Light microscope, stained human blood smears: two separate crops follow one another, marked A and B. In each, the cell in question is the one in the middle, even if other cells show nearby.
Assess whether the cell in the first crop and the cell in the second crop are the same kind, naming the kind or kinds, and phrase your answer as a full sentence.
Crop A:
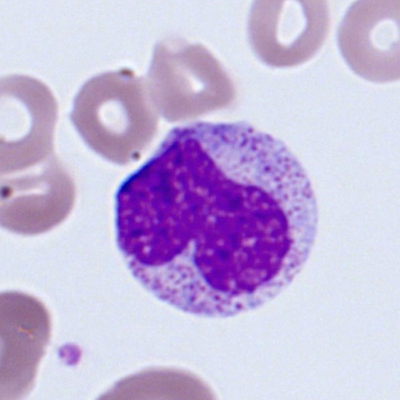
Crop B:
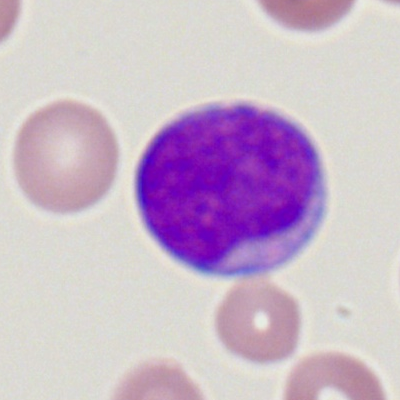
No, the cell in crop A is a monocyte, and the cell in crop B is a myeloblast.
